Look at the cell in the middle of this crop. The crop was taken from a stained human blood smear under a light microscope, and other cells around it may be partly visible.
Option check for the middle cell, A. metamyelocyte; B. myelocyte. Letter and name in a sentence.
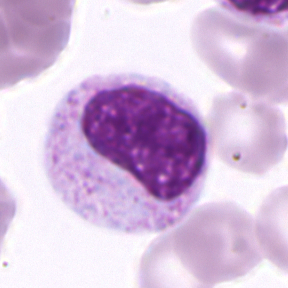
Since the cell in the centre is a metamyelocyte, the correct option is A.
